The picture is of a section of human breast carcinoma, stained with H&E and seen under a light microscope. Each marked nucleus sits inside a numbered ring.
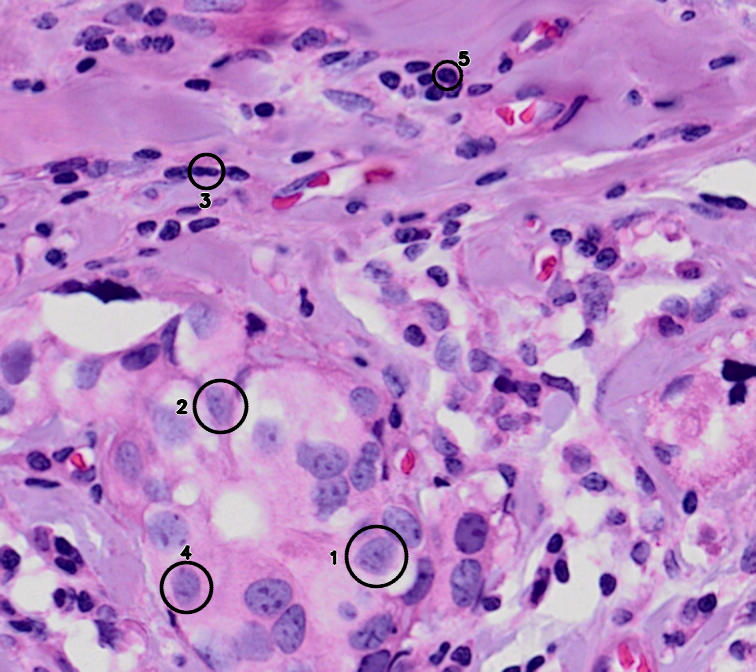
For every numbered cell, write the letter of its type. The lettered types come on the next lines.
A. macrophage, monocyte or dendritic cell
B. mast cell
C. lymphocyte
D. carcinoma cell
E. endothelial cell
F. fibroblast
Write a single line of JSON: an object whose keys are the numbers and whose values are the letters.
{"1": "D", "2": "D", "3": "C", "4": "D", "5": "C"}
